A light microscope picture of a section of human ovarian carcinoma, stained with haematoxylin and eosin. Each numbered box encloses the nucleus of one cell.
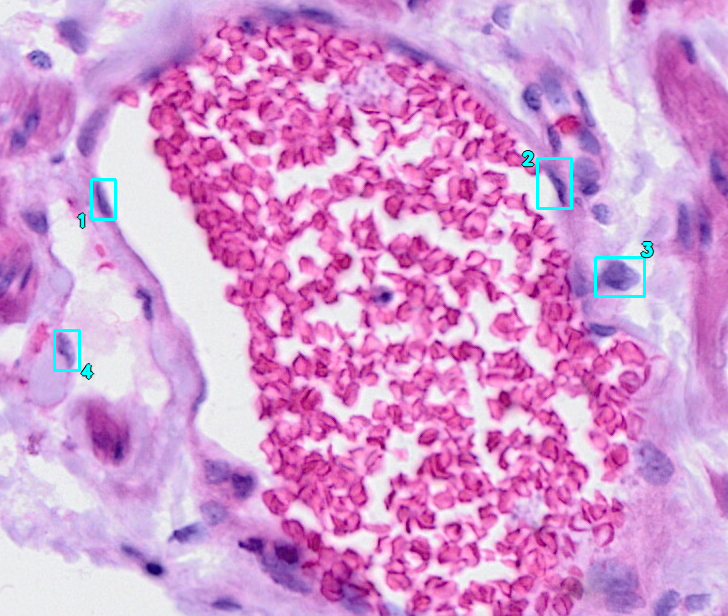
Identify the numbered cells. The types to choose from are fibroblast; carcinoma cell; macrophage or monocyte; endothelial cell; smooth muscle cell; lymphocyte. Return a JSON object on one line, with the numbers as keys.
{"1": "endothelial cell", "2": "endothelial cell", "3": "fibroblast", "4": "endothelial cell"}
